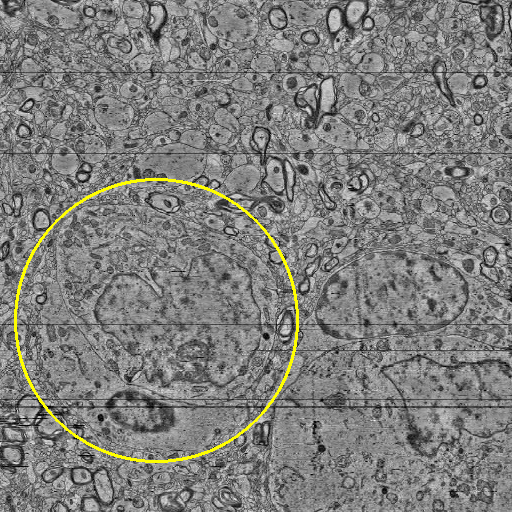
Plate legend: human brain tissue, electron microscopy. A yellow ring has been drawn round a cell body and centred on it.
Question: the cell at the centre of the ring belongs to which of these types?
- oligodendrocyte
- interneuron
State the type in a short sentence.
The cell in the middle of the ring is an interneuron.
